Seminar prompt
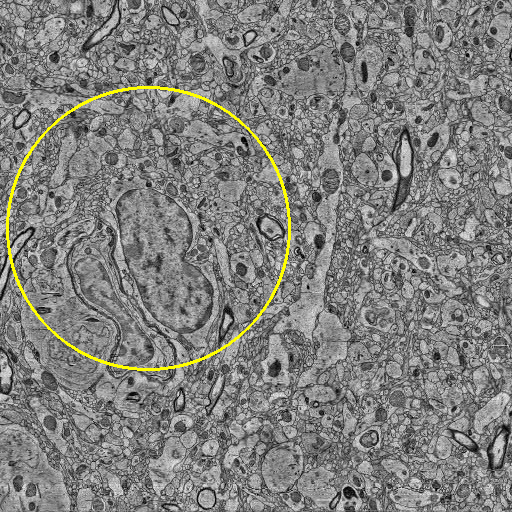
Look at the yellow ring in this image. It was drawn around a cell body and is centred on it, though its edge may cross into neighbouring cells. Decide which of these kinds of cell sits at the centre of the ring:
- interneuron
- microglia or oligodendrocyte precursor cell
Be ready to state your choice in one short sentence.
The kind of cell at the ring's centre is a microglial cell or oligodendrocyte precursor cell.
